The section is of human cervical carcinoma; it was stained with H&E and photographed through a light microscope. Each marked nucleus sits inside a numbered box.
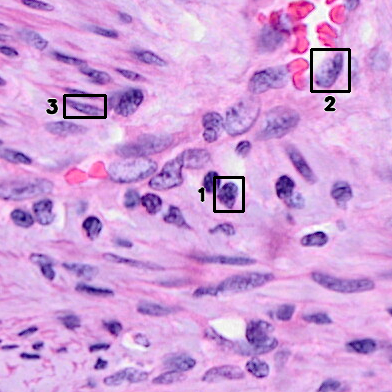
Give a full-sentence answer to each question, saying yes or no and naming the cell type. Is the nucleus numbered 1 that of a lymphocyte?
Yes, it checks out; the cell labelled 1 is a lymphocyte.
